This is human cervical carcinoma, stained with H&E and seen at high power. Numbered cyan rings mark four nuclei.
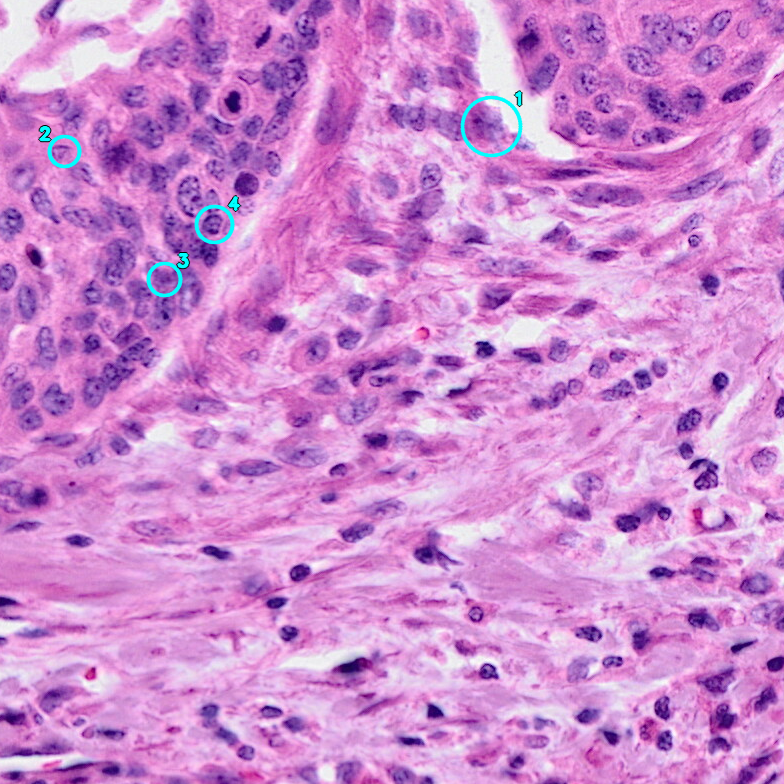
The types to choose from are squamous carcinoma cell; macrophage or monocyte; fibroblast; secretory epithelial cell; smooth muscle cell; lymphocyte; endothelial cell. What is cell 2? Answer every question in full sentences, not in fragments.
The cell with the number 2 is a squamous carcinoma cell.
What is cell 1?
The nucleus with number 1 is that of a fibroblast.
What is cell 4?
Cell 4, among those numbered, is a squamous carcinoma cell.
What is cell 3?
The cell with the number 3 is a squamous carcinoma cell.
